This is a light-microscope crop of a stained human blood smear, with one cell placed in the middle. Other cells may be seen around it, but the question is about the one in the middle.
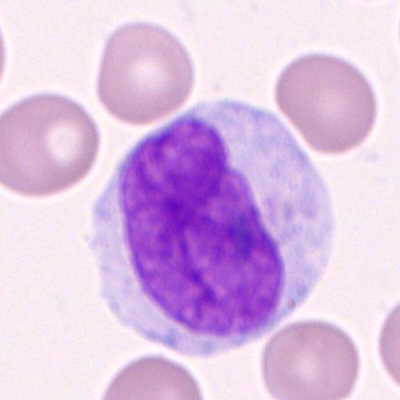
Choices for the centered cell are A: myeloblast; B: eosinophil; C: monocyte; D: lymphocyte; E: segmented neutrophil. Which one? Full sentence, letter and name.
Identification: the cell in the middle is a monocyte, matching option C.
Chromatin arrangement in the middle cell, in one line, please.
Take a look at the chromatin, which is coarsely clumped.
